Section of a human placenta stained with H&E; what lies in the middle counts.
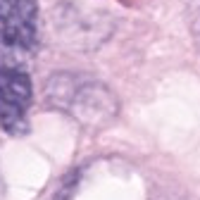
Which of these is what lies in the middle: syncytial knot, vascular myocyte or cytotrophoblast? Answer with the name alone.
cytotrophoblast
